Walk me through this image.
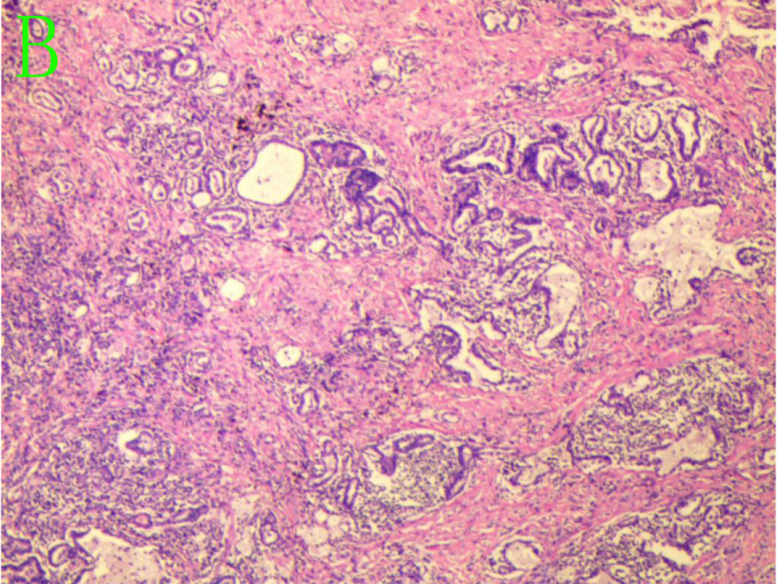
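Lung parenchyma with widened, pink fibrous septa and cellular infiltrates. Small round cells with dark nuclei crowd densely along the left edge and are scattered through the stroma. Many irregular, variably sized air spaces and gland-like structures are lined by crowded cuboidal to columnar epithelial cells with dark purple nuclei. Some linings fold into papillary tufts, and some lumina hold pale material. Round to oval empty spaces lie among them. The architecture is distorted, with normal thin-walled alveoli largely replaced. A small cluster of brown pigment lies near the top.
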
